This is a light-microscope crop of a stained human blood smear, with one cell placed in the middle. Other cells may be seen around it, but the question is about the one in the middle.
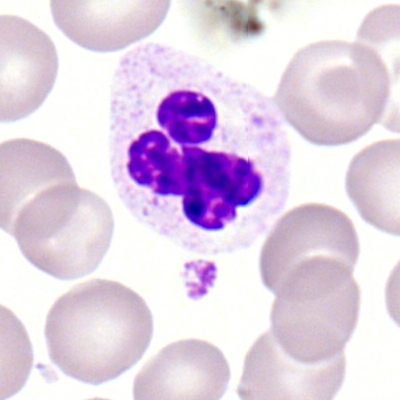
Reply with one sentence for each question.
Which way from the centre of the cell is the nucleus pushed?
The nucleus lies toward the bottom of the cell.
